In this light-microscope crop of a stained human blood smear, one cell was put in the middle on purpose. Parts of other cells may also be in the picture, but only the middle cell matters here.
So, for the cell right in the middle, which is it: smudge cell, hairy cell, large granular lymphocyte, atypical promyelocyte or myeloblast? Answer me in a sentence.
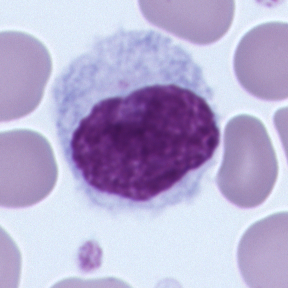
Among the cells in view, the one in the middle is a hairy cell.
